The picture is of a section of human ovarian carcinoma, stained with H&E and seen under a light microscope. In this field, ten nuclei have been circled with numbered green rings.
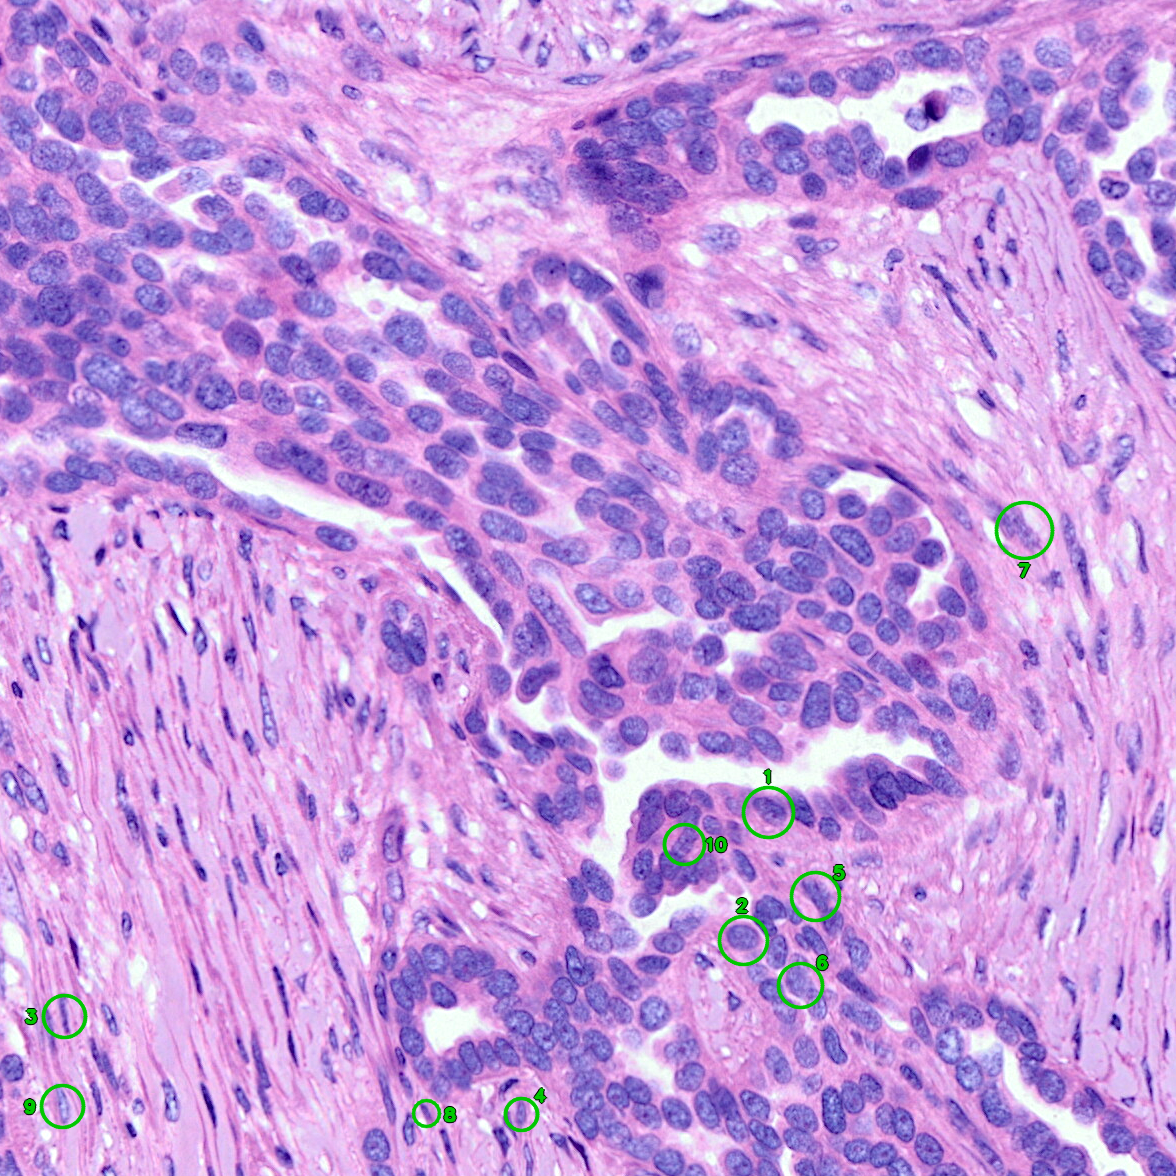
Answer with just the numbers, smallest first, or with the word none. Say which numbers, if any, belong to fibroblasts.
3, 4, 5, 7, 8, 9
